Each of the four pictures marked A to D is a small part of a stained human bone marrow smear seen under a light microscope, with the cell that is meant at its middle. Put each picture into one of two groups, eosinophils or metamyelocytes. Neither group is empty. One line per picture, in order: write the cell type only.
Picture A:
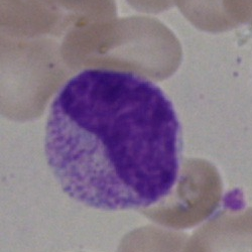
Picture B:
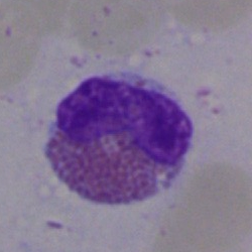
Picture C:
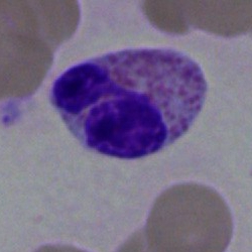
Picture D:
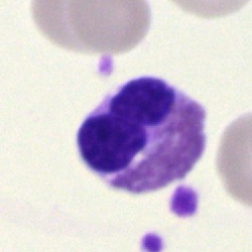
metamyelocyte
eosinophil
eosinophil
eosinophil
